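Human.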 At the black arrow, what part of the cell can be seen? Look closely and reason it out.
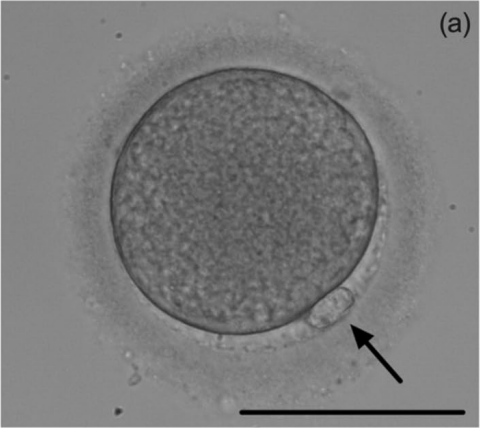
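A small, rounded, granular body lies at the lower right edge of the large cell. It sits just outside the cell membrane, beneath the clear surrounding shell. It is far smaller than the large round cell. That points to this answer: polar body.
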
